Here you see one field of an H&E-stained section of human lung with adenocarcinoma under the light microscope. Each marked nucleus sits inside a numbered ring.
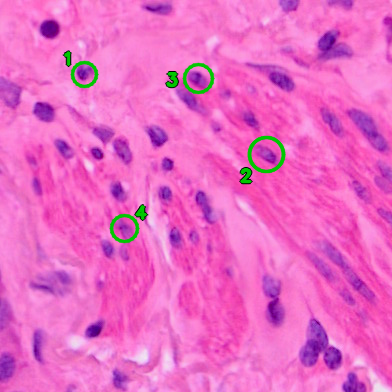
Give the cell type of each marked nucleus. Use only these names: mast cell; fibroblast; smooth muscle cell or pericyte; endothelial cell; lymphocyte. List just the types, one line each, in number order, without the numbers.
mast cell
smooth muscle cell or pericyte
smooth muscle cell or pericyte
smooth muscle cell or pericyte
